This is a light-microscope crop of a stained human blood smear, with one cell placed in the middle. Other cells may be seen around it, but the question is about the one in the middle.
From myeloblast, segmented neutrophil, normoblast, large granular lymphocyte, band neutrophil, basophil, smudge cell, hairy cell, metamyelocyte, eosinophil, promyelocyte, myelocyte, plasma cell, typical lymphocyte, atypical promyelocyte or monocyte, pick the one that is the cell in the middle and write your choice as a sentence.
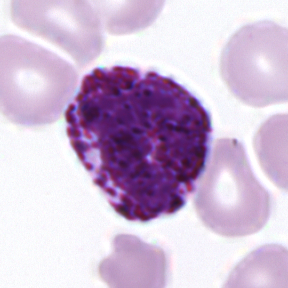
In the middle of this smear crop, the cell is a basophil.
